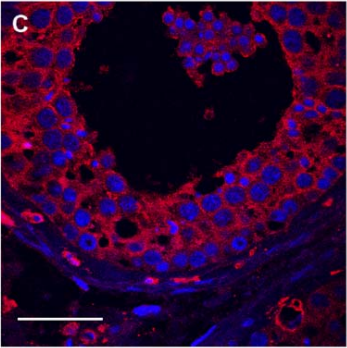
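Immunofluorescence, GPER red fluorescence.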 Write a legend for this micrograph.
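Seminiferous tubule of testis in cross section, with stratified germ cells around a wide central lumen. The round blue nuclei sit in cytoplasm with granular red fluorescence throughout the epithelium. A thin wall of flat, elongated nuclei surrounds the tubule, with some red-fluorescent cells in the interstitium beyond.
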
